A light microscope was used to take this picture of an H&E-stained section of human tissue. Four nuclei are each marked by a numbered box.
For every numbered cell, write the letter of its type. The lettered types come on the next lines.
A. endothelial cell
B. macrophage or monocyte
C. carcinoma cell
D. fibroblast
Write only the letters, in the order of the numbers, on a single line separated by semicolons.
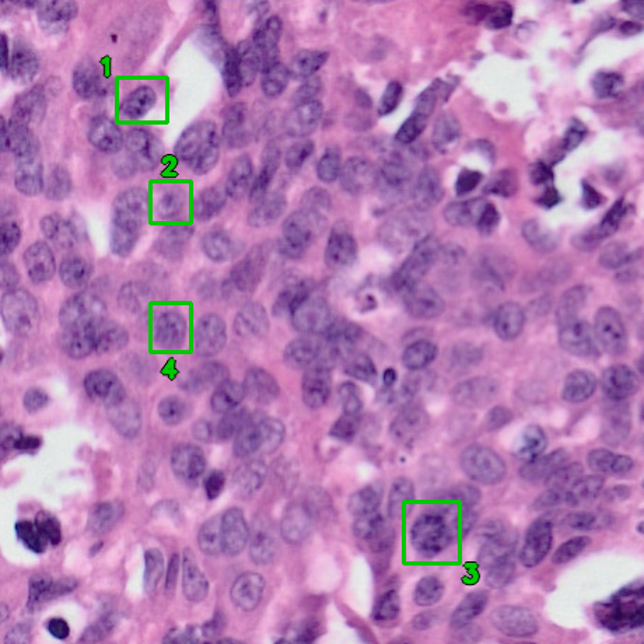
B; C; C; C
